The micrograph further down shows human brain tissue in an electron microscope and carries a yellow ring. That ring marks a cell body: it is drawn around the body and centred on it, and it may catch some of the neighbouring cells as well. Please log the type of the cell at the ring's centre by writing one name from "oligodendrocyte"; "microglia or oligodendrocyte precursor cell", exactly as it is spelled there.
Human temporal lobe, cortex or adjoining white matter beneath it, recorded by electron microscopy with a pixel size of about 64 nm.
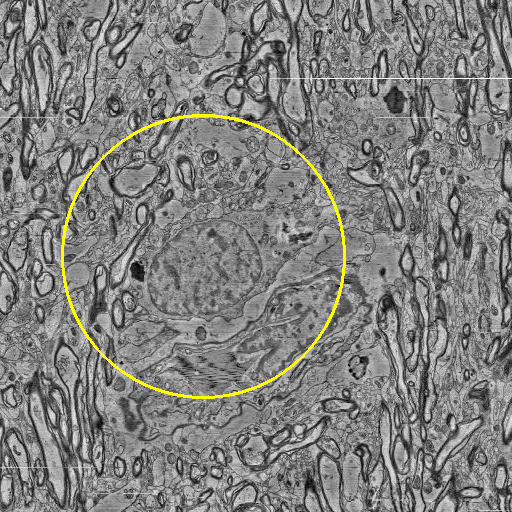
oligodendrocyte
